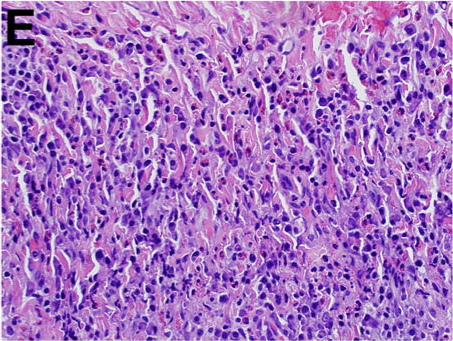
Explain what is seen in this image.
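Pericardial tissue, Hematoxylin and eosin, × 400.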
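Many cells show pink granular cytoplasm with dark, lobed nuclei; others are round to oval with an eccentric round dark nucleus and a rim of purplish cytoplasm. Thin pink strands of connective tissue run between the cells, more prominent toward the upper part of the field, where the cells lie in loose, streaming rows. A few red blood cells appear near the upper edge. The normal fibrous architecture is largely obscured by the dense cellular infiltrate.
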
